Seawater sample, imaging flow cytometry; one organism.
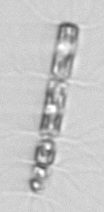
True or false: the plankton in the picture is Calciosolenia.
False; it is Bacteriastrum furcatum.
